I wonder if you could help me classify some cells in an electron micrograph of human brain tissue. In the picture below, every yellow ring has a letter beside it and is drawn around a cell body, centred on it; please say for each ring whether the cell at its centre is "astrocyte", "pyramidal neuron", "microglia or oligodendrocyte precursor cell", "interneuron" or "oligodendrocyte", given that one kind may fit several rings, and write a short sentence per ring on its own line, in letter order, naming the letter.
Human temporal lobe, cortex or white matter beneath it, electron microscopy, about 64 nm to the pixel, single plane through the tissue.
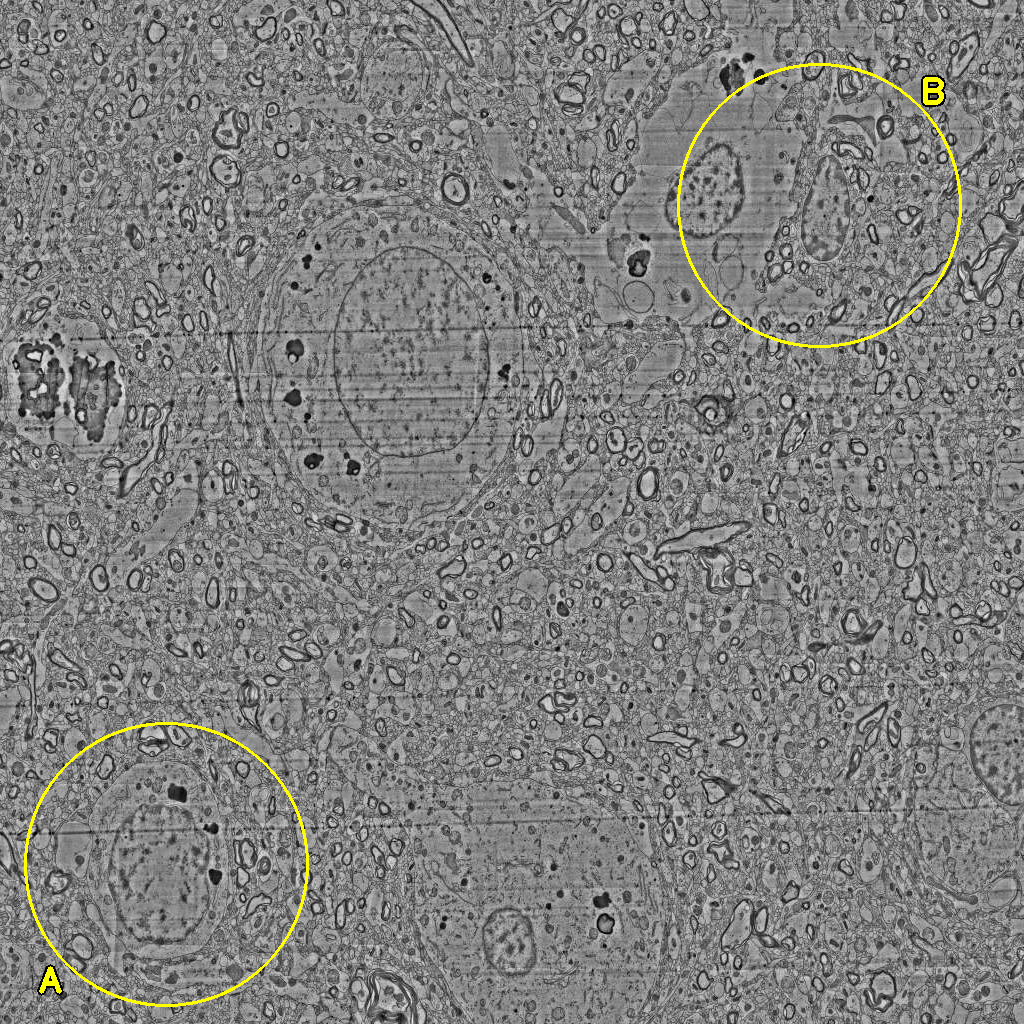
Centred in ring A is an interneuron.
Centred in ring B is a microglial cell or oligodendrocyte precursor cell.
